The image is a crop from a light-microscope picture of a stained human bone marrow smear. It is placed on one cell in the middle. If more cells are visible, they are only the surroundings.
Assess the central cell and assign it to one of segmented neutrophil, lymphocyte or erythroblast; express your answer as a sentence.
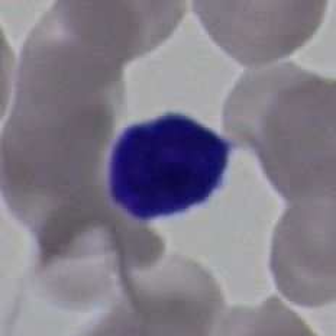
The cell under consideration, at the middle of the crop, is a lymphocyte.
